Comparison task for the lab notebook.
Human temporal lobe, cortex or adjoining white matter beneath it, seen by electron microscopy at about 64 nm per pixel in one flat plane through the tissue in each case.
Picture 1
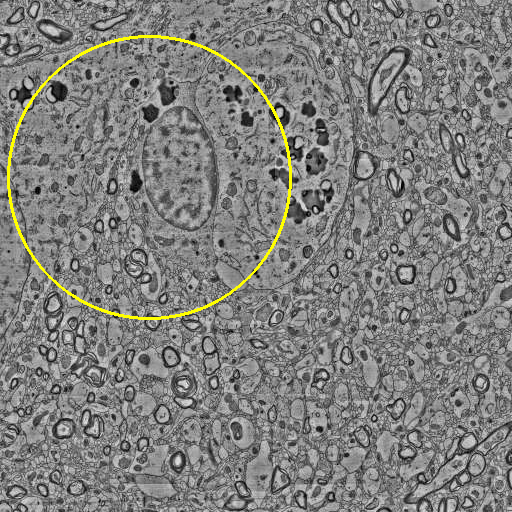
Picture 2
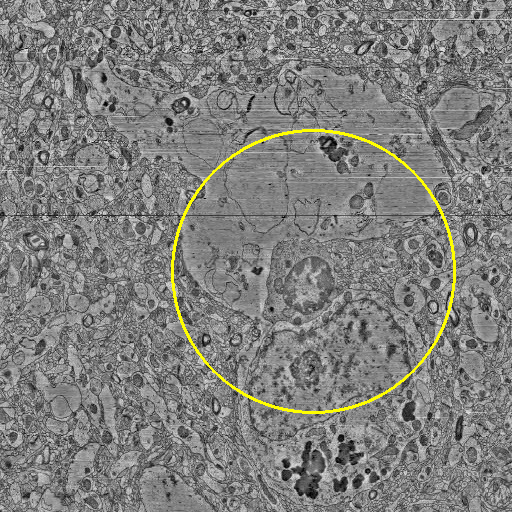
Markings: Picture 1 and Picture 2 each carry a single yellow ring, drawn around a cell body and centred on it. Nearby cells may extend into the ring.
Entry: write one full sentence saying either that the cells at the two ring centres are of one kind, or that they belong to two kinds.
The cells sitting at the ring centres in Picture 1 and Picture 2 are of one kind.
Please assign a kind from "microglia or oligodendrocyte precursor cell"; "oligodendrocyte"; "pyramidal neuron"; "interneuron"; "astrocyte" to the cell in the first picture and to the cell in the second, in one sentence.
The ring centre holds an oligodendrocyte in each of the two pictures.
